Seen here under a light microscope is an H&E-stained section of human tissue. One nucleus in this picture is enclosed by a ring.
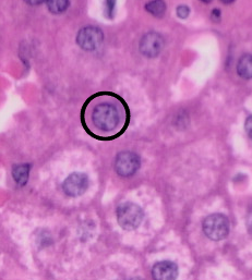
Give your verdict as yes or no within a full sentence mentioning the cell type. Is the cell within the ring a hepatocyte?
Yes, it is a hepatocyte that the cell within the ring is.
